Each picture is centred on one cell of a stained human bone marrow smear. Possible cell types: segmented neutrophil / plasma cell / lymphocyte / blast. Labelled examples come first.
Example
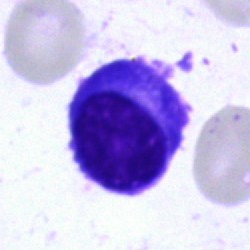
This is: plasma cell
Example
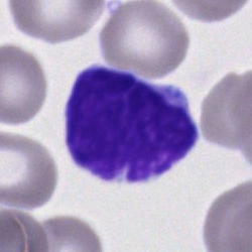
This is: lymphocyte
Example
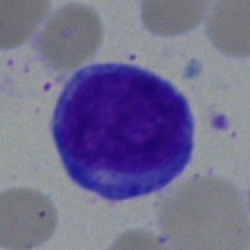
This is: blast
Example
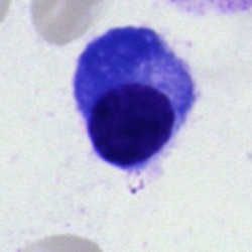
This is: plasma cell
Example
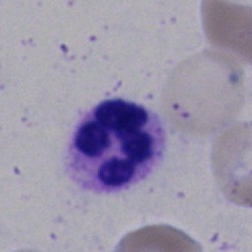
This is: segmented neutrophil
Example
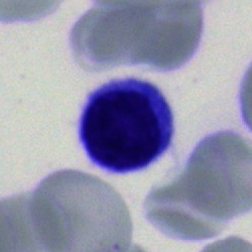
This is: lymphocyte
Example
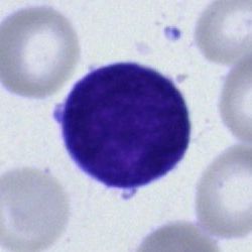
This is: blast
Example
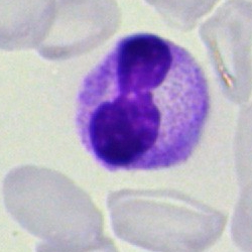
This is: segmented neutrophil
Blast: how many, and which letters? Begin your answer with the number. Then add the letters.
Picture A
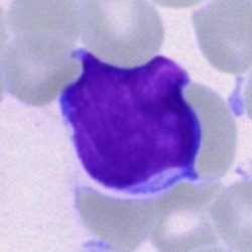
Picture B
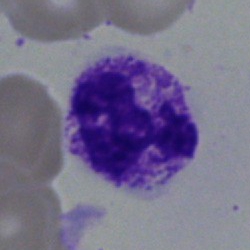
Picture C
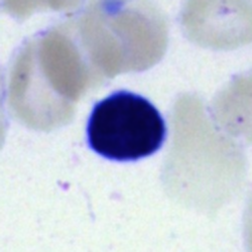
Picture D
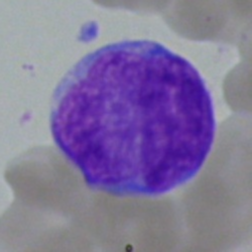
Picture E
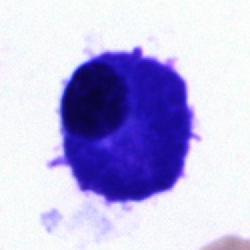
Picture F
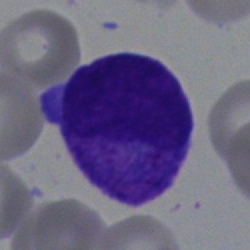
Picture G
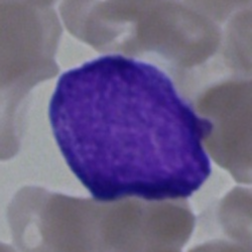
4: A, D, F, G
